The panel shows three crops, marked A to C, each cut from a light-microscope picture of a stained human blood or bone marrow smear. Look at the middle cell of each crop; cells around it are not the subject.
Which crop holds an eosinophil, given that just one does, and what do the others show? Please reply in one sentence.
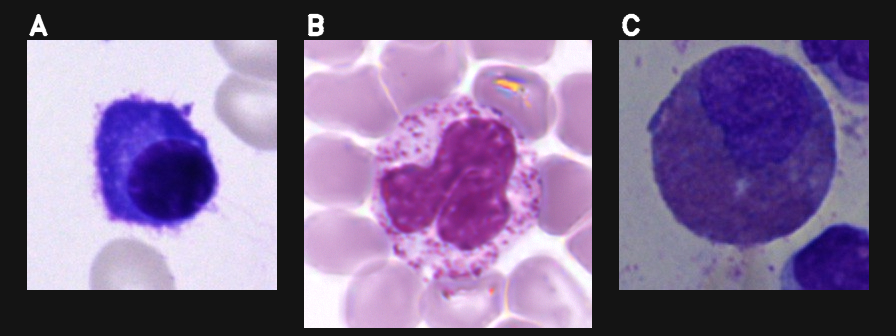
The central cell in crop C is an eosinophil, whereas crop A is a plasma cell and crop B is a band neutrophil.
